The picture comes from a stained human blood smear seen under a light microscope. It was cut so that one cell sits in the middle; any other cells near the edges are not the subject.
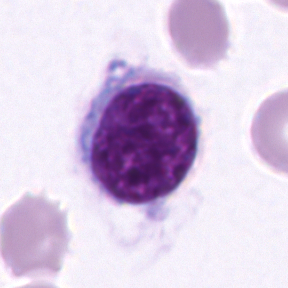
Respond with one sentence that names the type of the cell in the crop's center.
In the middle of this smear crop is a plasma cell.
